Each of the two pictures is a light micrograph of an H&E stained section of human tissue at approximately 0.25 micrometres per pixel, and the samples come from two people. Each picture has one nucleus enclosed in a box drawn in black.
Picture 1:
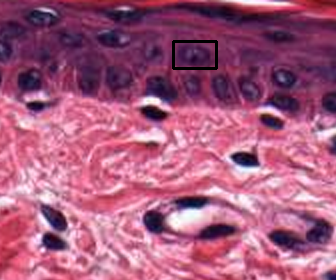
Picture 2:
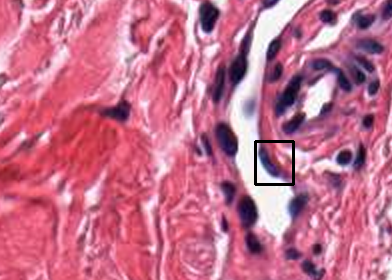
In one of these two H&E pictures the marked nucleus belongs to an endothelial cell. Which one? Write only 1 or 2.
2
